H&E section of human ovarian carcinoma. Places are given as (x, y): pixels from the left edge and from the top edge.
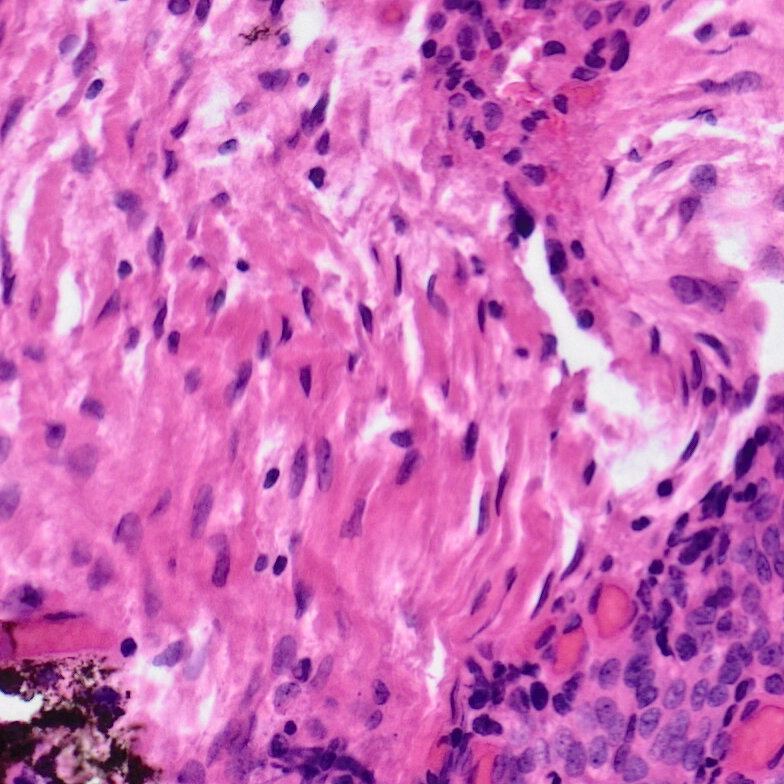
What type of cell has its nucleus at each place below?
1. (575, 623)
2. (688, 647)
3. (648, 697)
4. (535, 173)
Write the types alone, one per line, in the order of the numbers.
endothelial cell
carcinoma cell
carcinoma cell
macrophage or monocyte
